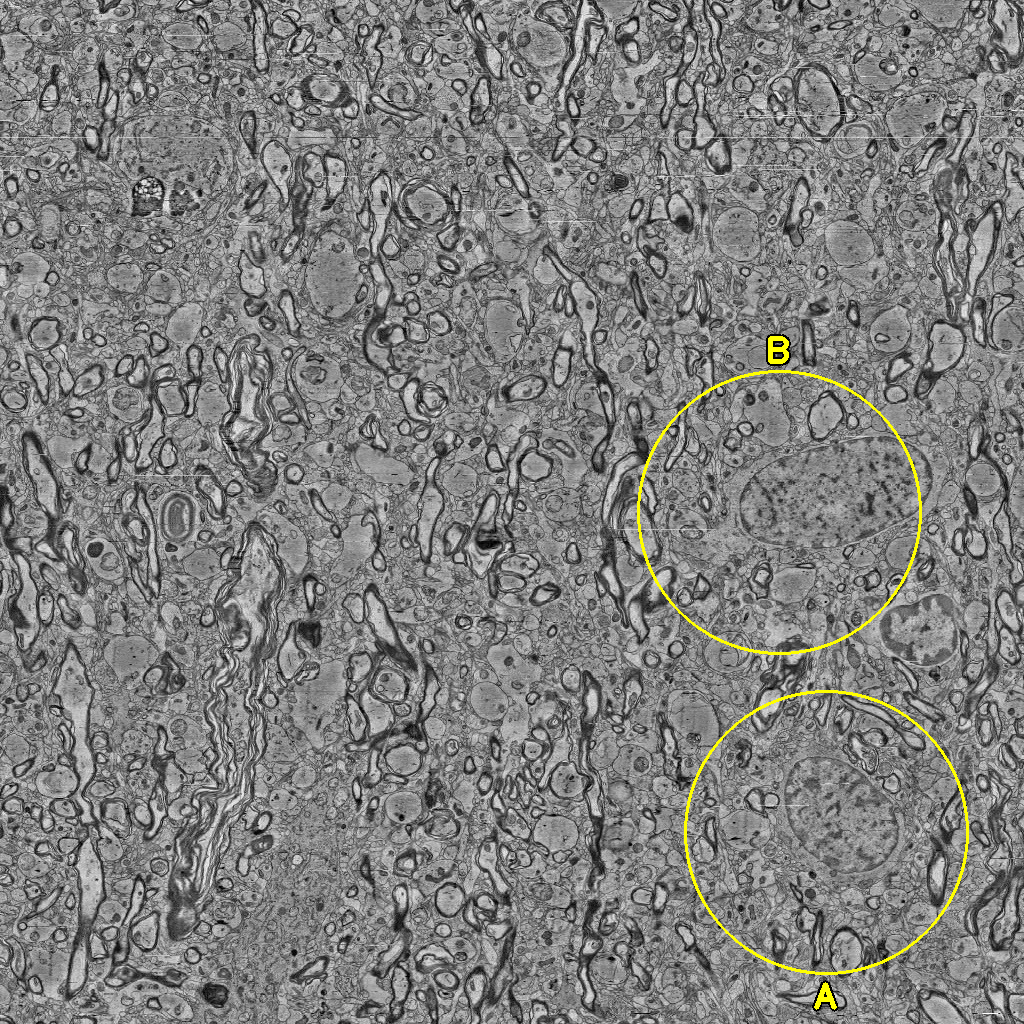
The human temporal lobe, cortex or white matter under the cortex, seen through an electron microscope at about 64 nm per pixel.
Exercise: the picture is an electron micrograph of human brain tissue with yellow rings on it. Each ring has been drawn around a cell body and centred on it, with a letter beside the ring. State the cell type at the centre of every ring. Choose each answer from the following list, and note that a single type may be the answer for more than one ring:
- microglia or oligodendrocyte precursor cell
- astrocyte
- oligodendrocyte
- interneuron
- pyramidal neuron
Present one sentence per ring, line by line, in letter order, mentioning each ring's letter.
Ring A shows an oligodendrocyte at its centre.
Ring B shows a microglial cell or oligodendrocyte precursor cell at its centre.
